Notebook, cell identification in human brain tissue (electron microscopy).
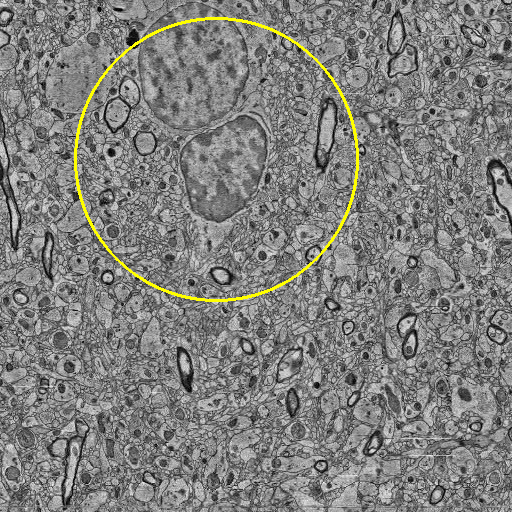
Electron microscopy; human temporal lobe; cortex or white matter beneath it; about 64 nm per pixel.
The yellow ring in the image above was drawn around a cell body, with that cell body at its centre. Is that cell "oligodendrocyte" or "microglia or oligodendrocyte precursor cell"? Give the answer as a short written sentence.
The cell in the ring is a microglial cell or oligodendrocyte precursor cell.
